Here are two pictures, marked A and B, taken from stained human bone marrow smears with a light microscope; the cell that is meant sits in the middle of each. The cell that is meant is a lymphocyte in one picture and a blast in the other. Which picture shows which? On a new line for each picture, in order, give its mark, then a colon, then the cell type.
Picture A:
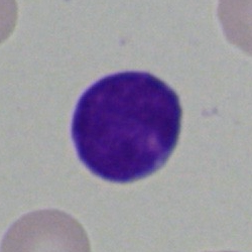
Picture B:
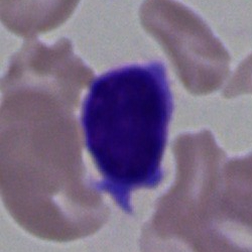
A: blast
B: lymphocyte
